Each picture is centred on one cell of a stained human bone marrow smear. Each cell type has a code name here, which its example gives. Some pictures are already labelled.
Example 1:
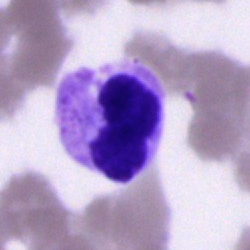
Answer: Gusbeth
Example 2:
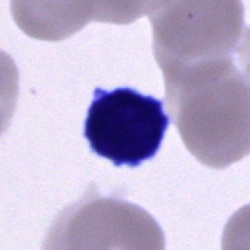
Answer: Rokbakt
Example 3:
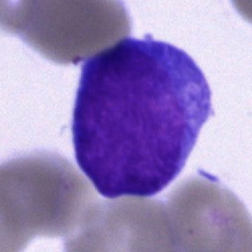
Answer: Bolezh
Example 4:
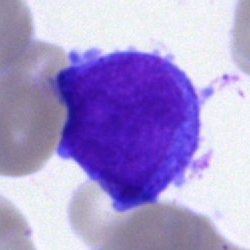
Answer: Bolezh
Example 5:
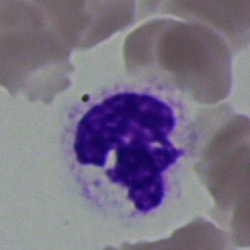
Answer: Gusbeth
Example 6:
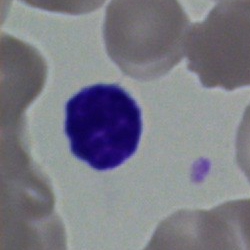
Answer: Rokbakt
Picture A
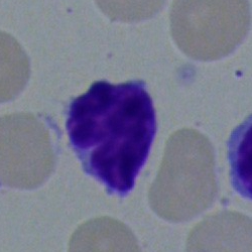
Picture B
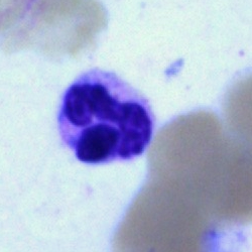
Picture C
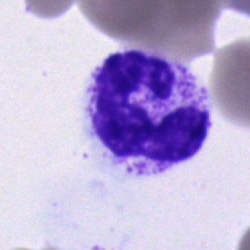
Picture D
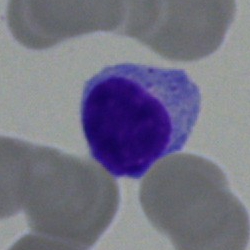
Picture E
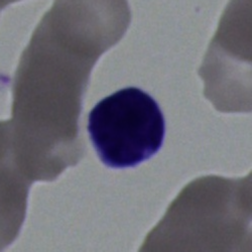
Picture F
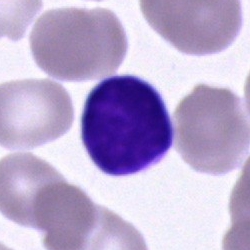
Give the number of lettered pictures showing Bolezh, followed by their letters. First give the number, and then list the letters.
0, none of them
